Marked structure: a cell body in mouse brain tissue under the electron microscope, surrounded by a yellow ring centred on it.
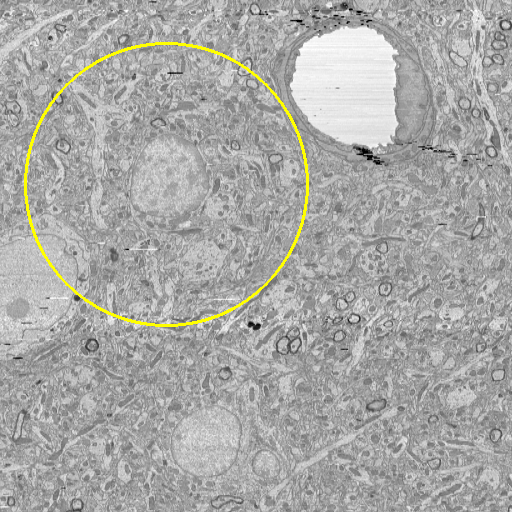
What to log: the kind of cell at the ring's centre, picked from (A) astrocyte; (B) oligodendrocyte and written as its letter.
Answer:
B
